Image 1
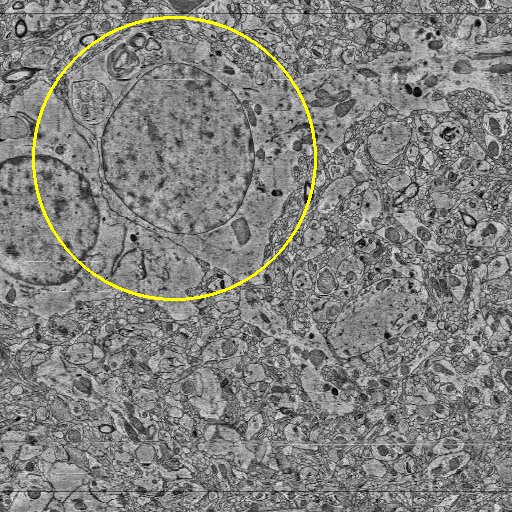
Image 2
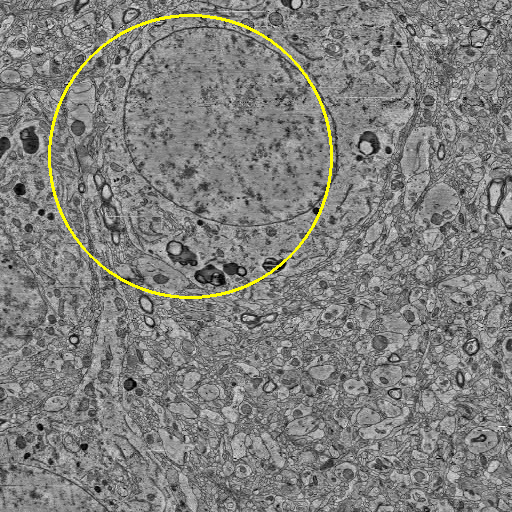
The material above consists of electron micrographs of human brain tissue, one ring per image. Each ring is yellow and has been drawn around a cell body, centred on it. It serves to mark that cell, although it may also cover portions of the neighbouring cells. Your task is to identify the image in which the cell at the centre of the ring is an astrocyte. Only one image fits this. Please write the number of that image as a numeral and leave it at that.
1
